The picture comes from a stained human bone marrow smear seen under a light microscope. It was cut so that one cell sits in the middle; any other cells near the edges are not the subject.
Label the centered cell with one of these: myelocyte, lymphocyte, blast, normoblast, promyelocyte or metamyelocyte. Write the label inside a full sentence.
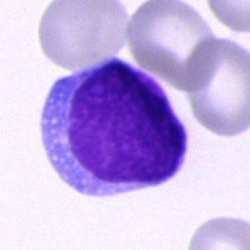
Classification of the middle cell gives a blast.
